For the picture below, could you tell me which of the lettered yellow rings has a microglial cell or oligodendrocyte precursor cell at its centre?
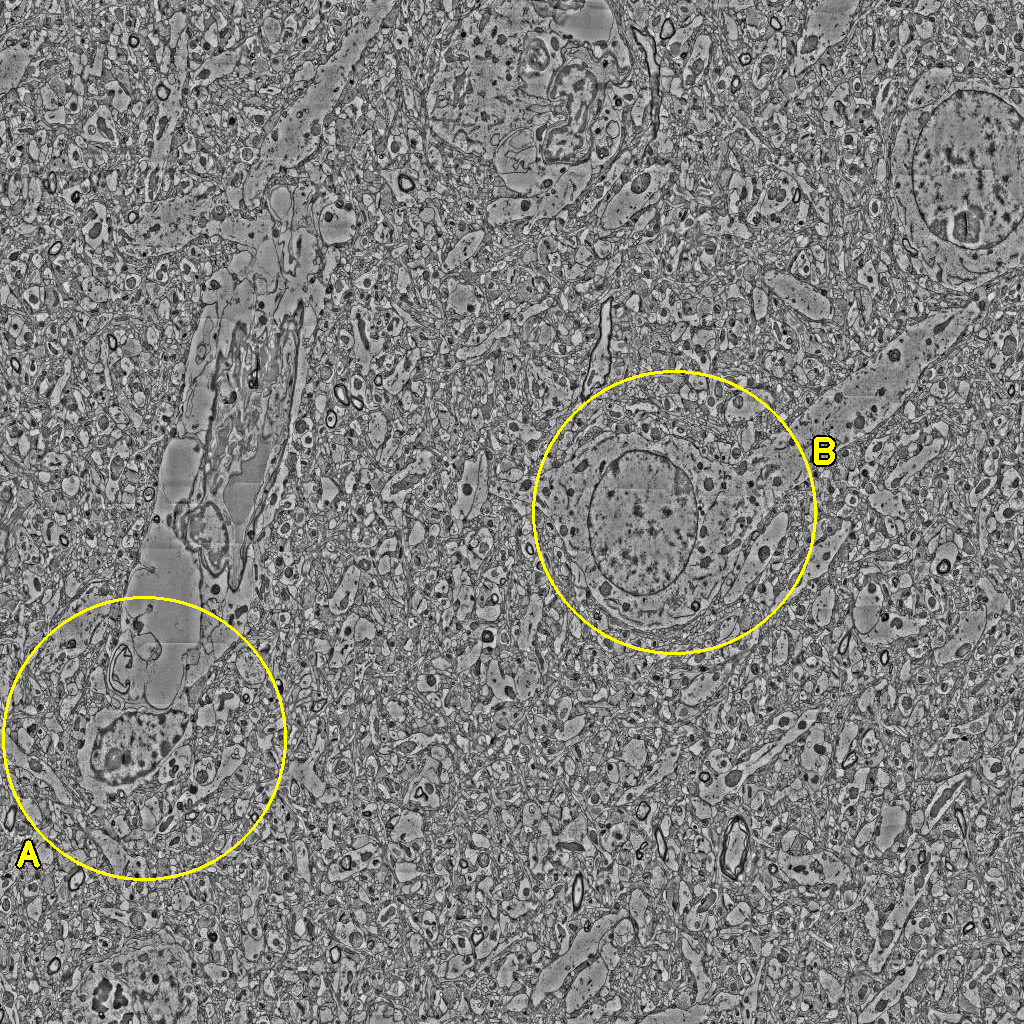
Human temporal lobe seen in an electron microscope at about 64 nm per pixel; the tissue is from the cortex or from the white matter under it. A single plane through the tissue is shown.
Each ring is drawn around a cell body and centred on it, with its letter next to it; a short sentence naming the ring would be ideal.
Ring A is centred on it.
